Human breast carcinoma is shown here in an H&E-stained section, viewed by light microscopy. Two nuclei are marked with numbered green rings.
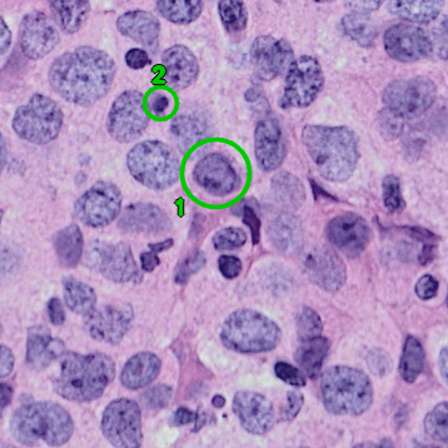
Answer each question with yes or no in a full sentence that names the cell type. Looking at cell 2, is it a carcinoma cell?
No; cell 2 is a lymphocyte, not a carcinoma cell.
